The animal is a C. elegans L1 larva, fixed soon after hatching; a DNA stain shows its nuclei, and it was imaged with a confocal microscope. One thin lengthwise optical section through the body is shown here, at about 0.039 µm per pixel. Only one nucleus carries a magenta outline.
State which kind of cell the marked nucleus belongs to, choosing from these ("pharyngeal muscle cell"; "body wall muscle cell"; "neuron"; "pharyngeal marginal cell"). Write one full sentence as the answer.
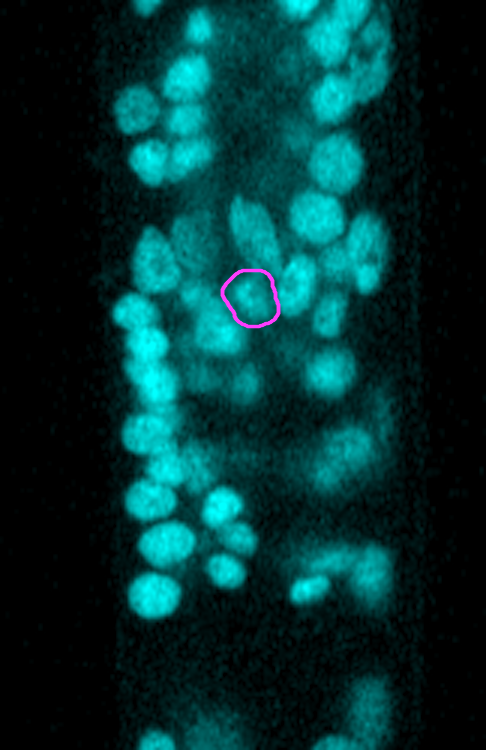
What is marked is the nucleus of a pharyngeal muscle cell.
